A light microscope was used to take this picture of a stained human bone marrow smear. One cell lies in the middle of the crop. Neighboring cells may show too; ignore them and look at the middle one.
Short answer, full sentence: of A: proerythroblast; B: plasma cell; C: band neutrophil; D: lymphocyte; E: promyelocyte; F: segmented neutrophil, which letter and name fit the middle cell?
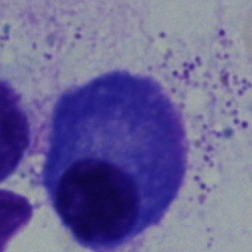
The cell in the middle is correctly identified as a plasma cell in option B.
